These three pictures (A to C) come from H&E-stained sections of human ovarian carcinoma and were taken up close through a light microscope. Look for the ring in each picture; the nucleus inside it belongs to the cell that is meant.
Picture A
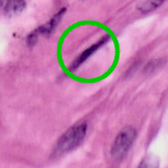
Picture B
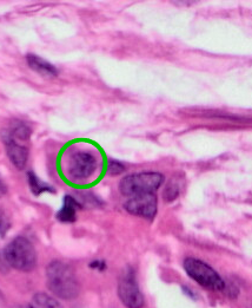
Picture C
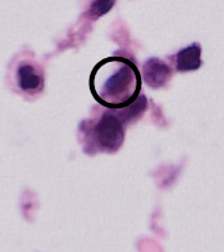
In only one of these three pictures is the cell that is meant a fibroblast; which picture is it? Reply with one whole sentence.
Picture A shows the fibroblast.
